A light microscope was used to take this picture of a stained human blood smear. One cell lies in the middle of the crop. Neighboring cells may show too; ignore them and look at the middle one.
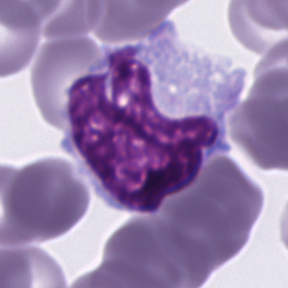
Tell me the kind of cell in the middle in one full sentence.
Here the centrally located cell is a monocyte.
